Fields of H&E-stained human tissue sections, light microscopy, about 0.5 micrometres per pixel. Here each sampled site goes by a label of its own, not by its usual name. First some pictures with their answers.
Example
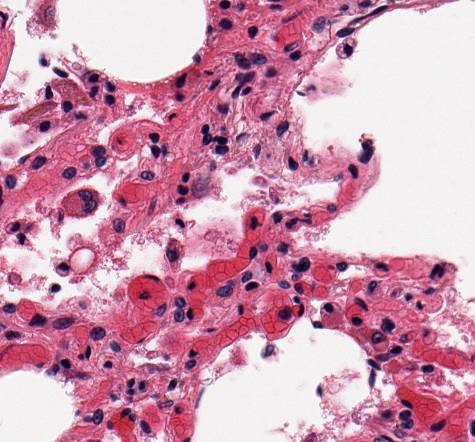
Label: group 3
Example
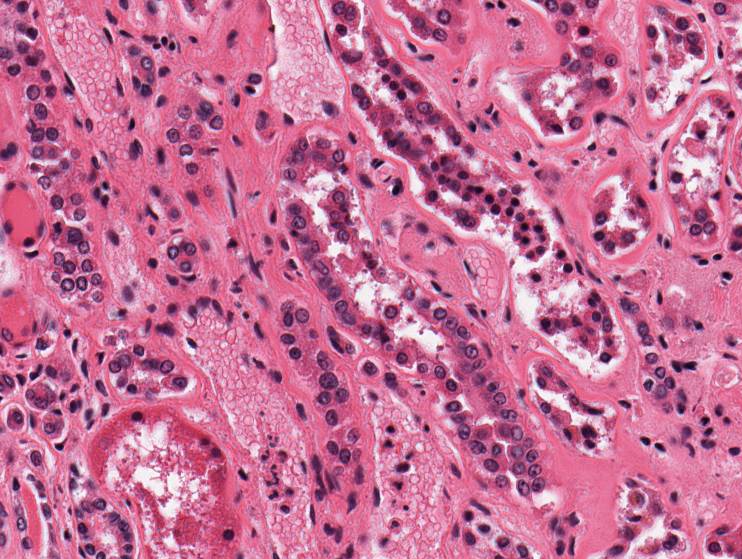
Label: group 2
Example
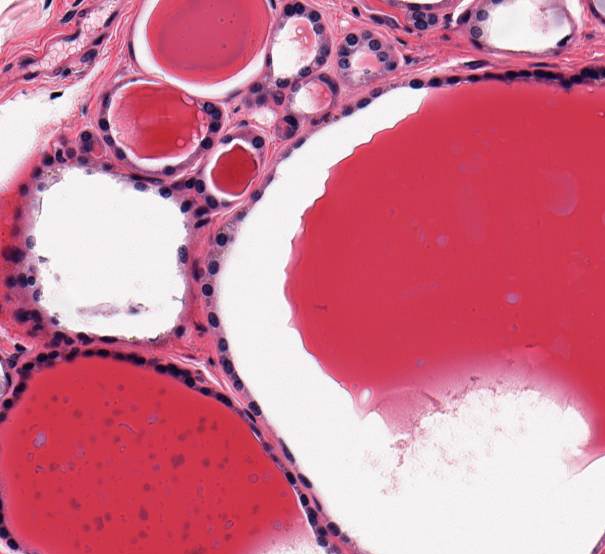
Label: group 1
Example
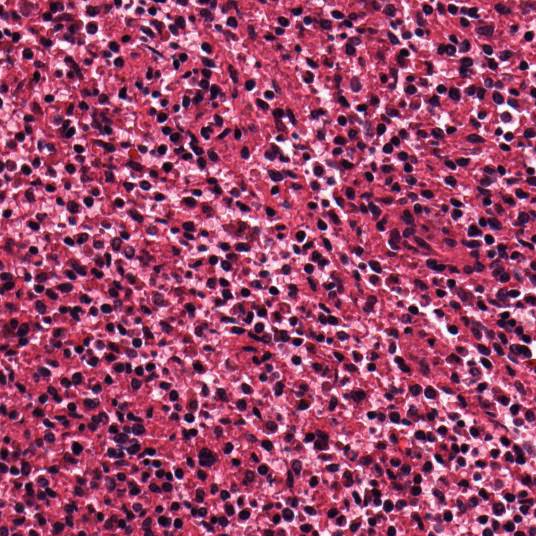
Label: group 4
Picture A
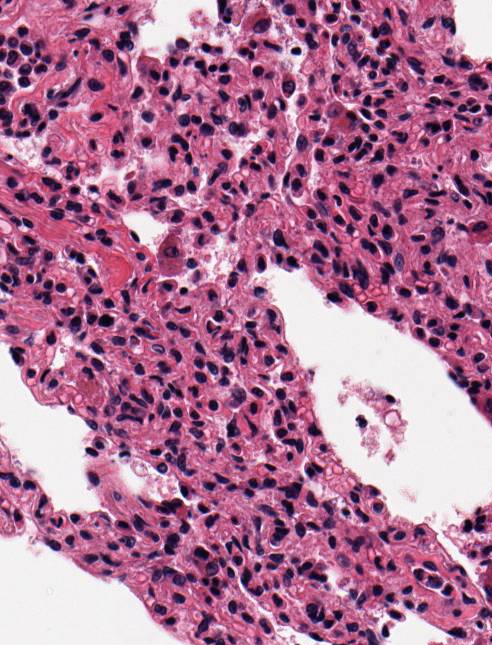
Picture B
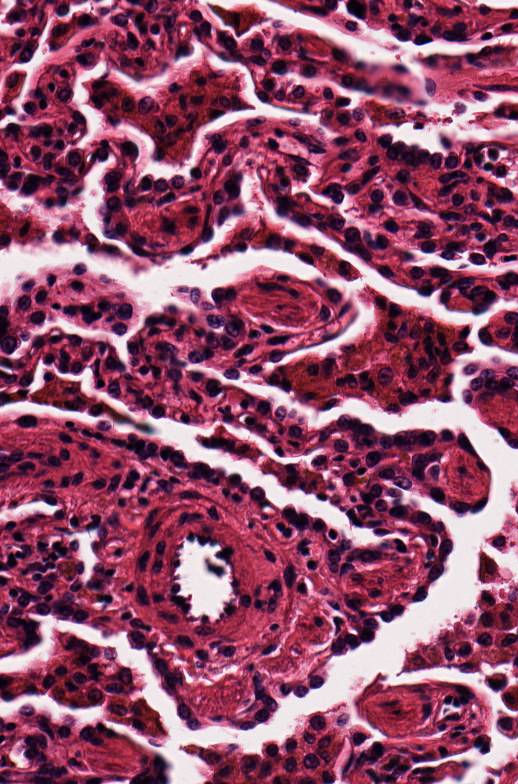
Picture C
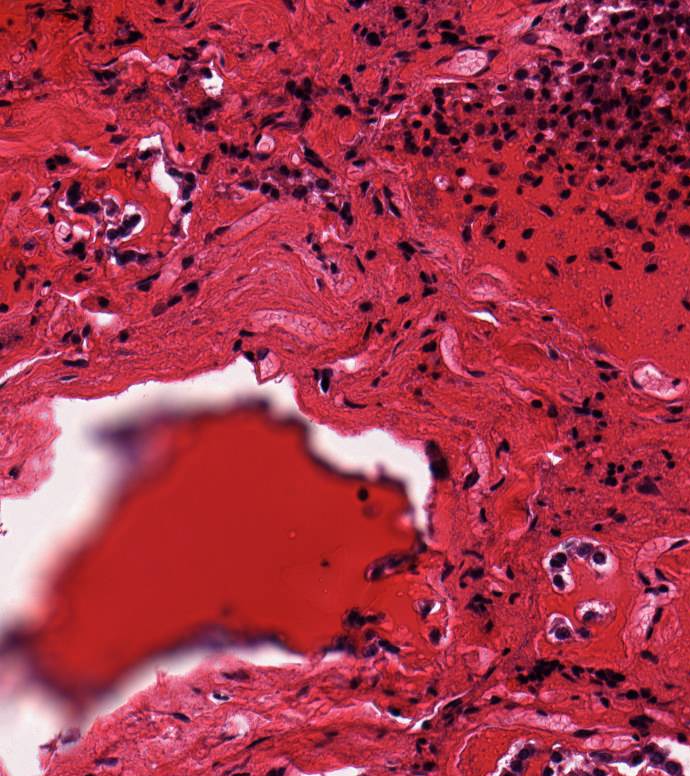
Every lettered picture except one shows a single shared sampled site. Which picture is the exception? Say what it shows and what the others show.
C differs and shows group 1; the others show group 3.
